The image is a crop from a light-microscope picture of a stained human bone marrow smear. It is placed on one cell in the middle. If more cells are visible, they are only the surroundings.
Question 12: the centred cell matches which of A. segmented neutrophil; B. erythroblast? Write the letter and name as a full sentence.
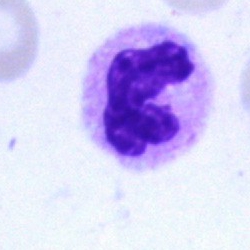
Identification: the cell in the middle is a segmented neutrophil, matching option A.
